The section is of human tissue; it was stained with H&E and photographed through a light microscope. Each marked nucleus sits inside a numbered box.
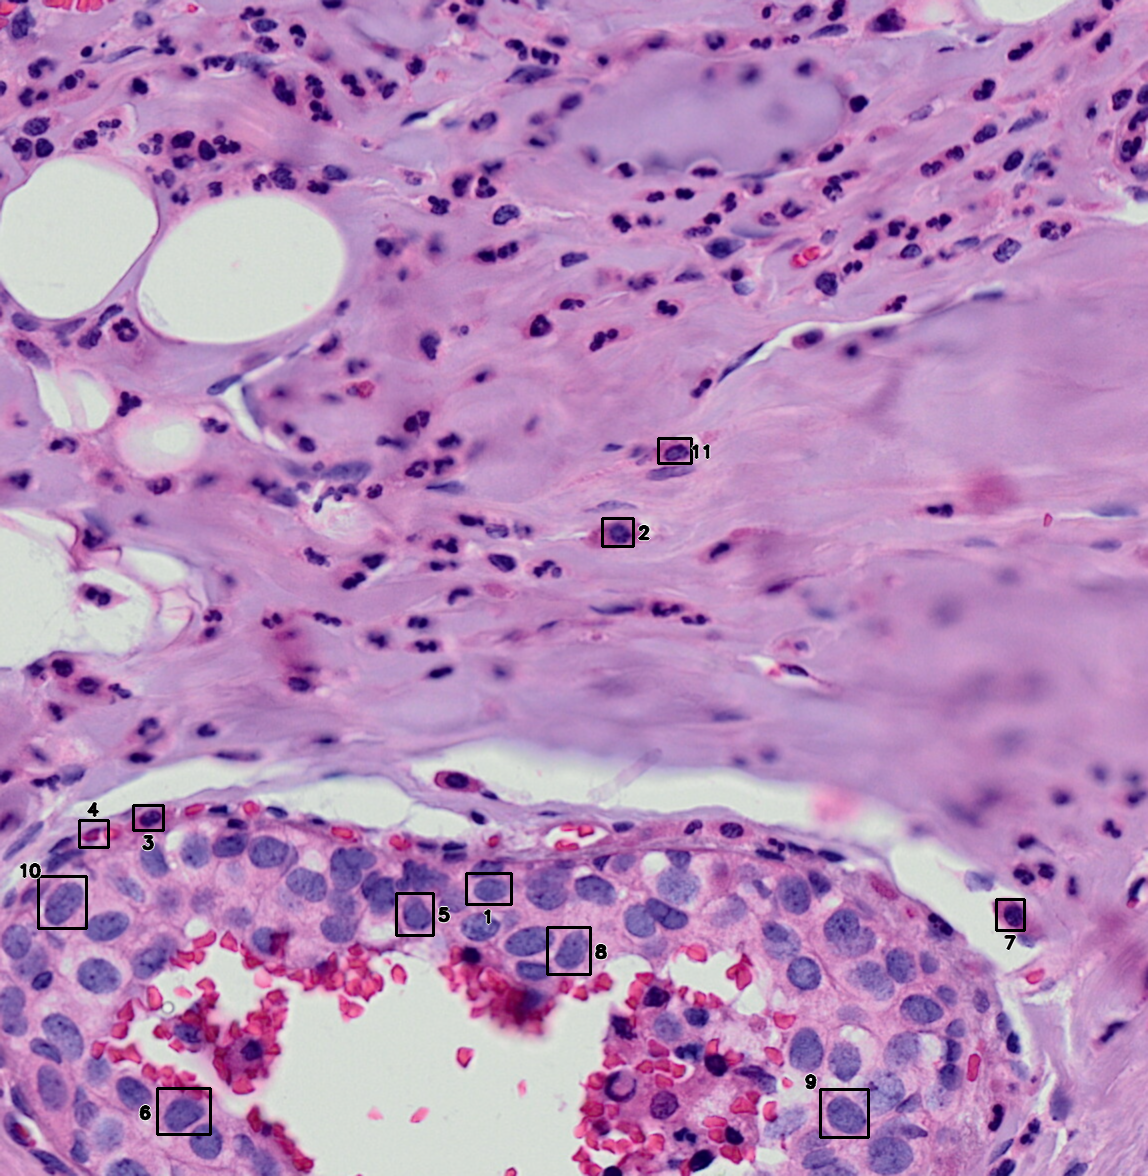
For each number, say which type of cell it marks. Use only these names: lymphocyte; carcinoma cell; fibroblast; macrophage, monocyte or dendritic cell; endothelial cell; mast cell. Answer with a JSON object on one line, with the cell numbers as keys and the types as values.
{"1": "carcinoma cell", "2": "mast cell", "3": "mast cell", "4": "endothelial cell", "5": "carcinoma cell", "6": "carcinoma cell", "7": "mast cell", "8": "carcinoma cell", "9": "carcinoma cell", "10": "carcinoma cell", "11": "mast cell"}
